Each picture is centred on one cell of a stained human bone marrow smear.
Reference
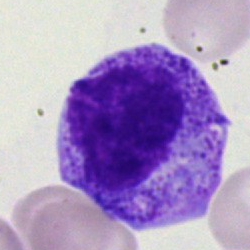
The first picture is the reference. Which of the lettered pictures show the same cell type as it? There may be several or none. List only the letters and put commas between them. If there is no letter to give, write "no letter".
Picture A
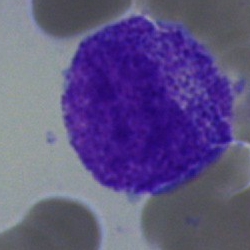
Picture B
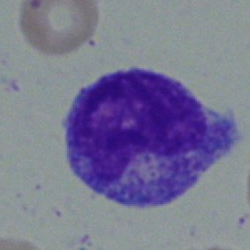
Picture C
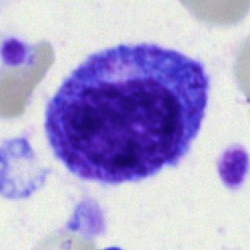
A, B, C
